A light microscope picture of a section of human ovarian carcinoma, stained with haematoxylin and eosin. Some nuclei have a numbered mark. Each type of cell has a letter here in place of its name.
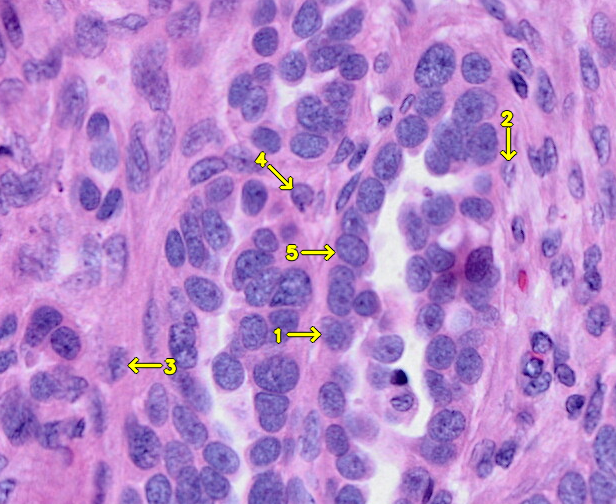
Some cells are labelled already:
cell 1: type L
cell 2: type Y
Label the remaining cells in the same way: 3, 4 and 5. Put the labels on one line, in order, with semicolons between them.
type Y; type Y; type L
